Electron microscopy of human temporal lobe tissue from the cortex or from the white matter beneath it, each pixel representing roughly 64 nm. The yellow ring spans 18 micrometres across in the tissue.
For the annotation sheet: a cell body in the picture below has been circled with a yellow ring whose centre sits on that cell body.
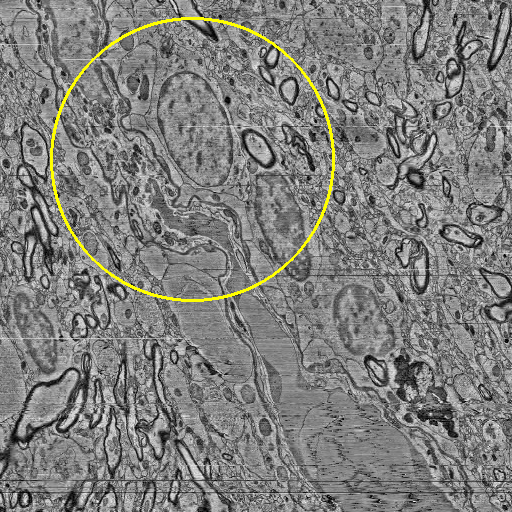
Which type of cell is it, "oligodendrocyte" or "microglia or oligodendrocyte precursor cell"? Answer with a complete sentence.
The circled cell is a microglial cell or oligodendrocyte precursor cell.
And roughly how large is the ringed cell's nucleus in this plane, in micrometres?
The nucleus comes to approximately 8 by 4 micrometres and is clearly longer than it is wide in this plane.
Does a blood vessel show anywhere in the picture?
Yes, one appears.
